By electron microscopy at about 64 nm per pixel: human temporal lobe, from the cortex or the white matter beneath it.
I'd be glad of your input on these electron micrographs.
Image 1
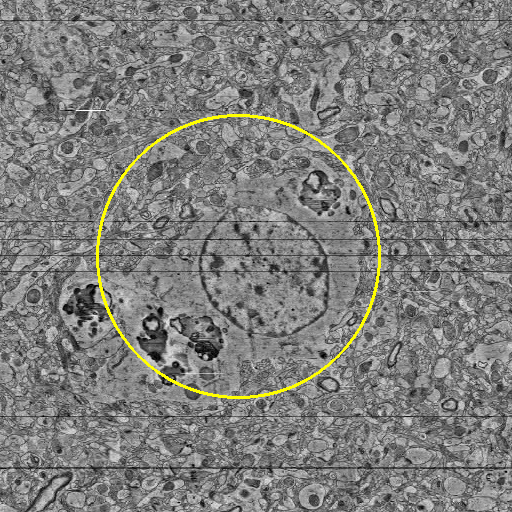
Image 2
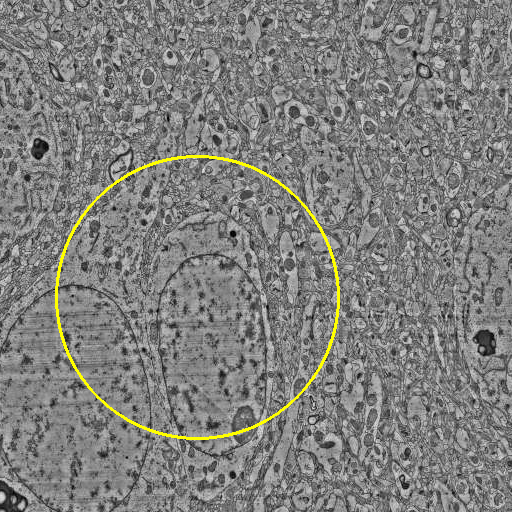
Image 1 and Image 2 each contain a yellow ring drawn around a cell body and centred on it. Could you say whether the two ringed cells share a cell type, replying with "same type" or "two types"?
two types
